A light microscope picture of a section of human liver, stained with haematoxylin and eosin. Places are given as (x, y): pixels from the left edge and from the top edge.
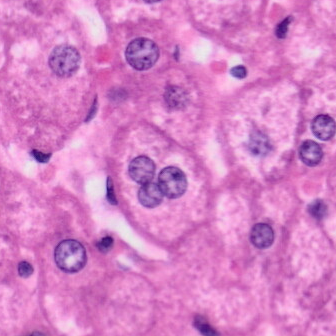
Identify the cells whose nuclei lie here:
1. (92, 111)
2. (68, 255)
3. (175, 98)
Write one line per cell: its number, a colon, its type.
1: endothelial cell
2: hepatocyte
3: hepatocyte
